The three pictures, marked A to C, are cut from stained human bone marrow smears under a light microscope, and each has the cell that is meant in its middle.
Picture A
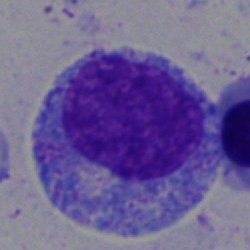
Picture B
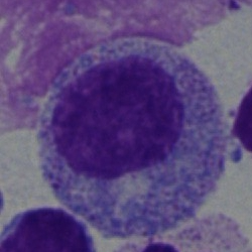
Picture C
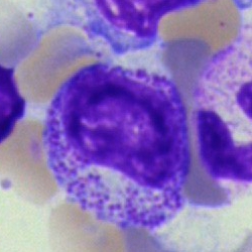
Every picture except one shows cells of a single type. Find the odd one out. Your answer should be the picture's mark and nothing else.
B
